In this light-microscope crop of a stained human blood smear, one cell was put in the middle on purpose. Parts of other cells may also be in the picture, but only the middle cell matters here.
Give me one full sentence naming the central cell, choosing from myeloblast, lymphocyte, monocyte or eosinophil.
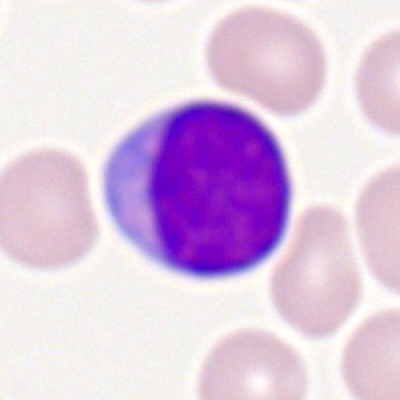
The cell in the exact centre of the crop is a myeloblast.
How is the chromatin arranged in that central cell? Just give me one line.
Take a look at the chromatin, which is coarsely clumped.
